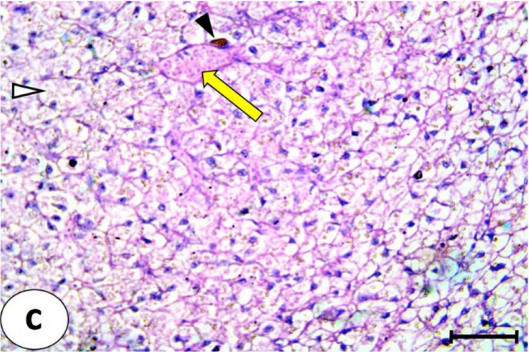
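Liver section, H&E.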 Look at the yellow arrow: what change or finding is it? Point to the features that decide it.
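A widened channel between cell cords filled with pink material. The answer: congested dilated blood sinusoid.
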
